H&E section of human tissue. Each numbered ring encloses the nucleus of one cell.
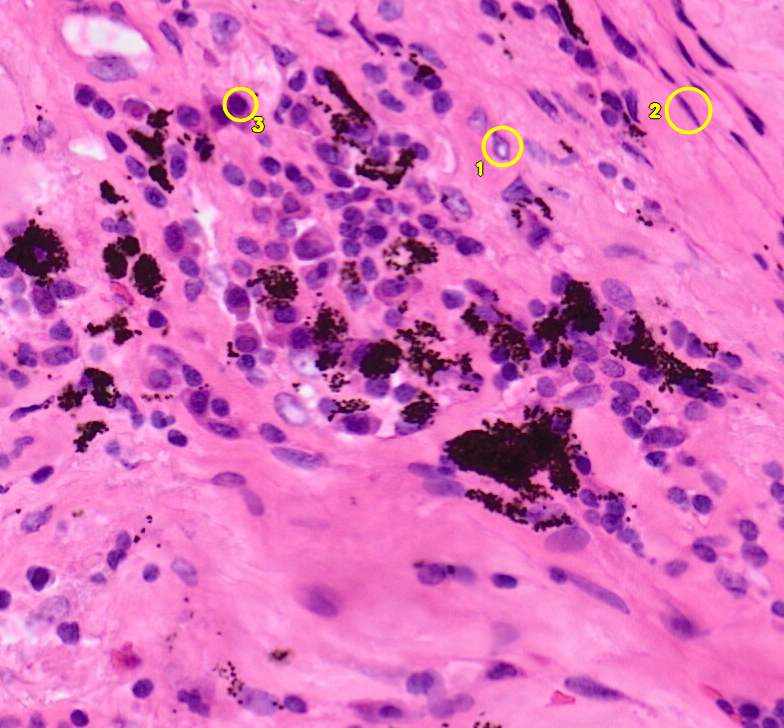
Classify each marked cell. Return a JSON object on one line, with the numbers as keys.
{"1": "endothelial cell", "2": "fibroblast", "3": "plasma cell"}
